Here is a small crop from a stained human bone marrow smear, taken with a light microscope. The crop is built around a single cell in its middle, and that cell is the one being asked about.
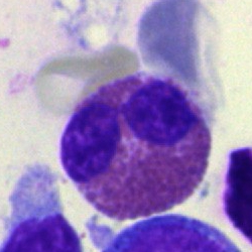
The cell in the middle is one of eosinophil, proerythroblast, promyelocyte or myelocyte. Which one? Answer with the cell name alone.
eosinophil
